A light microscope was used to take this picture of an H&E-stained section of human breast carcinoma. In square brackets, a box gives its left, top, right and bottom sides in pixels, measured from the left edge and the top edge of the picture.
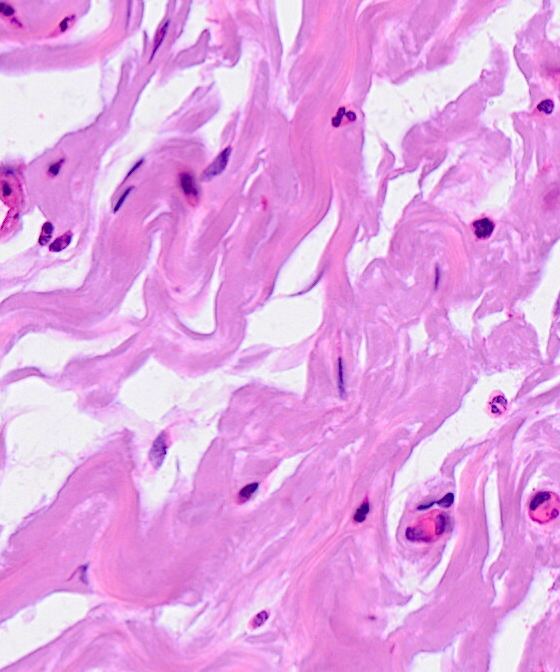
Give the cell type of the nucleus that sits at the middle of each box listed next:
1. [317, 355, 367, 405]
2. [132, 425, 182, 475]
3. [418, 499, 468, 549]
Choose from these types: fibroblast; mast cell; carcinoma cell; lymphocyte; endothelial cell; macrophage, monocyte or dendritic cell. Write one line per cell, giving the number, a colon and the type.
1: fibroblast
2: fibroblast
3: endothelial cell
